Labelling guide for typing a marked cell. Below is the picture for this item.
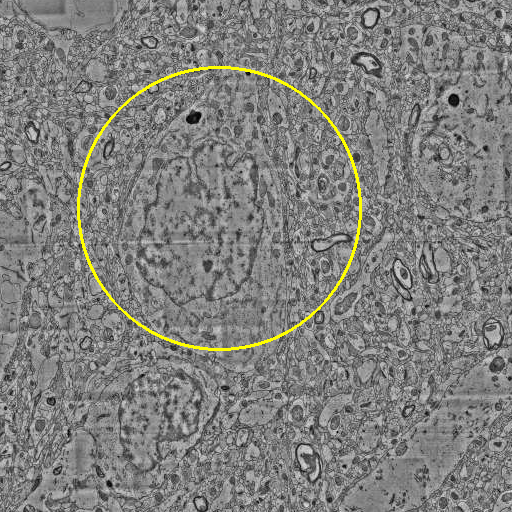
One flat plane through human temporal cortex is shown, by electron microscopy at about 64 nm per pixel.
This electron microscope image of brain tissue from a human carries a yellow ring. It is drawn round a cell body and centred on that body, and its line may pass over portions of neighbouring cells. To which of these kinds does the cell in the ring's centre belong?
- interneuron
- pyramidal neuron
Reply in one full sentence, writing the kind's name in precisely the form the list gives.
Here we have an interneuron at the centre of the yellow ring in the picture.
